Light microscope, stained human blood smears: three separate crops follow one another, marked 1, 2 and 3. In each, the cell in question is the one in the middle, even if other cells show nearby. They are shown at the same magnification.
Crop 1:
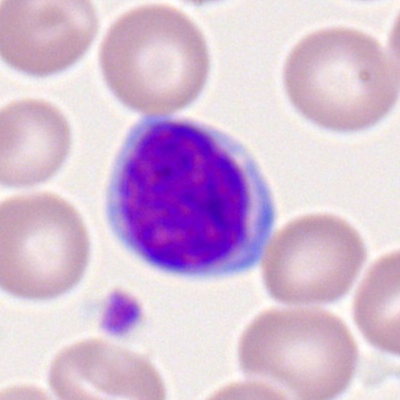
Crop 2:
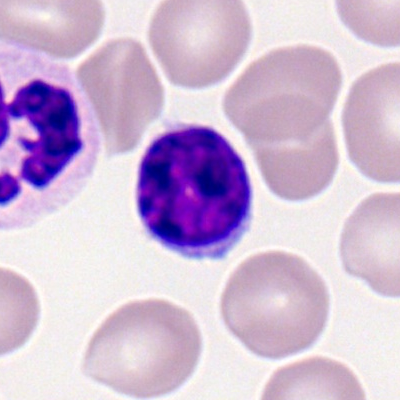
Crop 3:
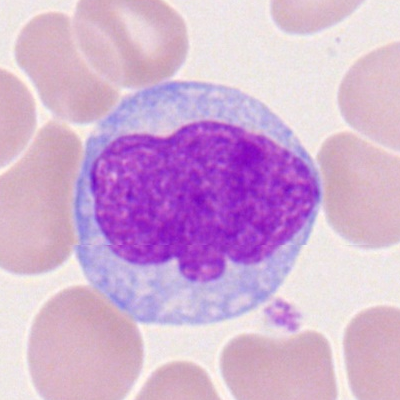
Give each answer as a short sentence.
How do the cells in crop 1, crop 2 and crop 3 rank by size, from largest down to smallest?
Largest first: 3, 1, 2.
